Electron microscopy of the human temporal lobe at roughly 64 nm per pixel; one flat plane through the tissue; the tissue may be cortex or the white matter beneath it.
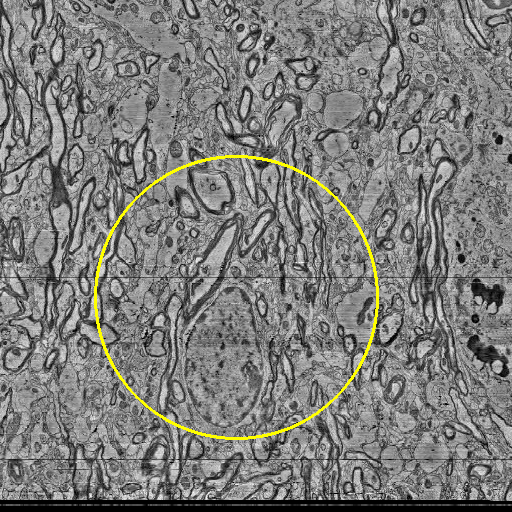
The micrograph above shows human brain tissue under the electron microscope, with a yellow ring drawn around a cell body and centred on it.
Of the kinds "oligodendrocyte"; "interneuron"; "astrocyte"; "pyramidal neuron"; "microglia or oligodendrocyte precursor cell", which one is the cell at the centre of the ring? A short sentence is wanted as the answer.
The one at the centre of the ring is a microglial cell or oligodendrocyte precursor cell.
